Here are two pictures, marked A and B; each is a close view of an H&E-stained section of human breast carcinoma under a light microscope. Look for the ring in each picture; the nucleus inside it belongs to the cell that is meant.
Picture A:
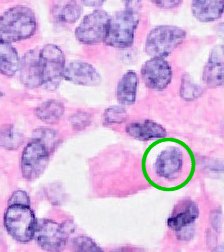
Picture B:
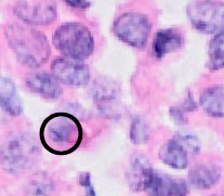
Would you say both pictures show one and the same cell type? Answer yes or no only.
no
